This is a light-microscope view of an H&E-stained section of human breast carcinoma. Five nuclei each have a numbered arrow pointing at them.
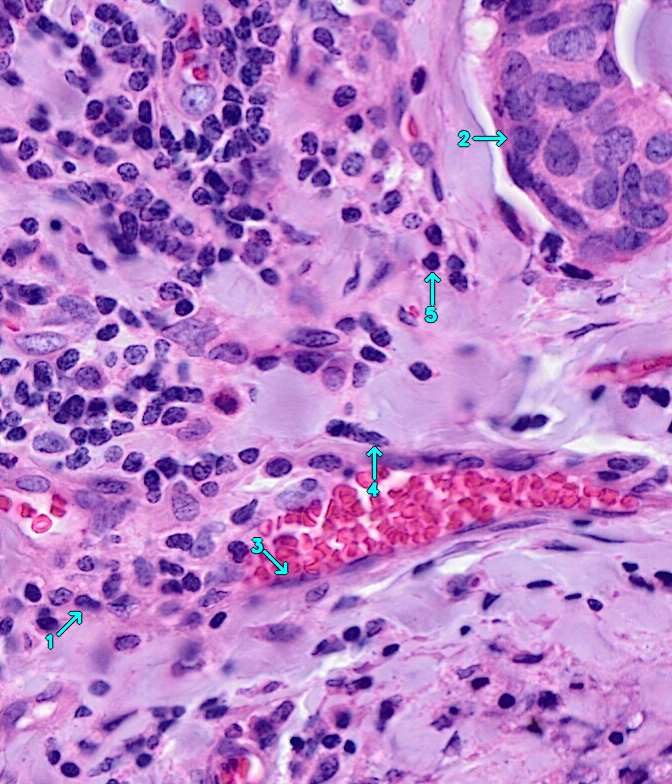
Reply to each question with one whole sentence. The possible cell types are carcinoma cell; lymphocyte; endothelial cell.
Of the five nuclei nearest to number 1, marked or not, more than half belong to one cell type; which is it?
Most of the five nuclei nearest to number 1 are those of lymphocytes.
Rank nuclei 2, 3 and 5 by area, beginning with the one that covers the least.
The order from the smallest nucleus to the largest is 5, 3, 2.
